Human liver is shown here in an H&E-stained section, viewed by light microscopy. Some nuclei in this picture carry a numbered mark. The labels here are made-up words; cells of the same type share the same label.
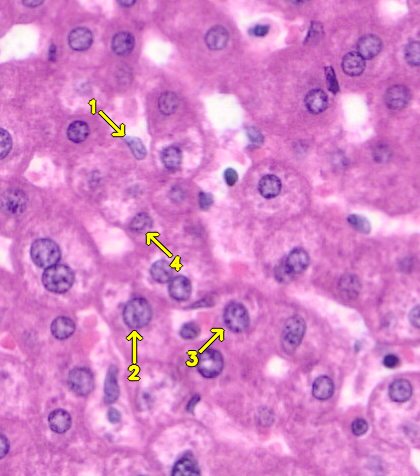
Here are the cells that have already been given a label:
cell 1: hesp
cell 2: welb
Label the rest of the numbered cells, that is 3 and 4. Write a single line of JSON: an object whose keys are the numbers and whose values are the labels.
{"3": "welb", "4": "welb"}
